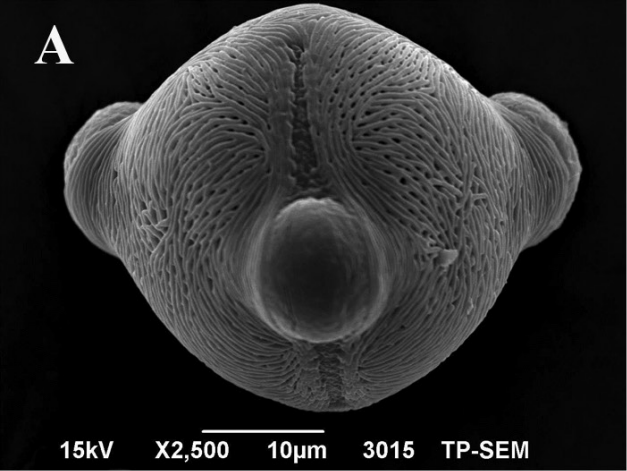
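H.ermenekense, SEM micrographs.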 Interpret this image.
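Single pollen grain seen in equatorial view, with a rounded, slightly angular outline. A narrow longitudinal furrow runs from pole to pole across the facing side, interrupted at its middle by a smooth, rounded protruding pore; similar bulging pores project at the left and right margins. The whole surface is covered by densely packed, elongated ridges with small perforations between them, arranged in curving bundles.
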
